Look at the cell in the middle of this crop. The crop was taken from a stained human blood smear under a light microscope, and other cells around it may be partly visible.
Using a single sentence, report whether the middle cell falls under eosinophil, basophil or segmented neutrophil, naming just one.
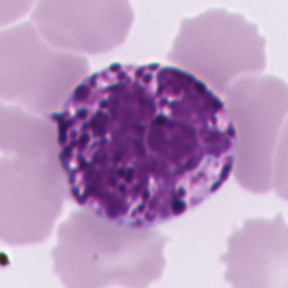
In this crop, the cell at the very middle is a basophil.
